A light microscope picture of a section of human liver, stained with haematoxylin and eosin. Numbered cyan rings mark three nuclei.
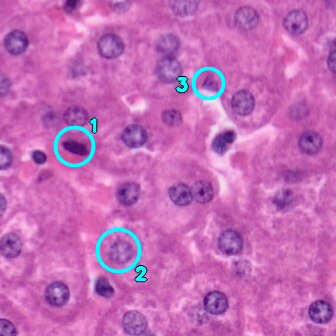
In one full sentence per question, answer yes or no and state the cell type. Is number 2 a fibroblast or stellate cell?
No, cell 2 is not a fibroblast or stellate cell. It is a hepatocyte.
